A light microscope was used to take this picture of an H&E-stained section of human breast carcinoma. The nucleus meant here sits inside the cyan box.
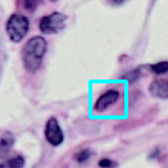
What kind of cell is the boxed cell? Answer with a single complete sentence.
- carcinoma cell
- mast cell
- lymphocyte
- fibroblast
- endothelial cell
The expected answer is simply that the boxed cell is a lymphocyte.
